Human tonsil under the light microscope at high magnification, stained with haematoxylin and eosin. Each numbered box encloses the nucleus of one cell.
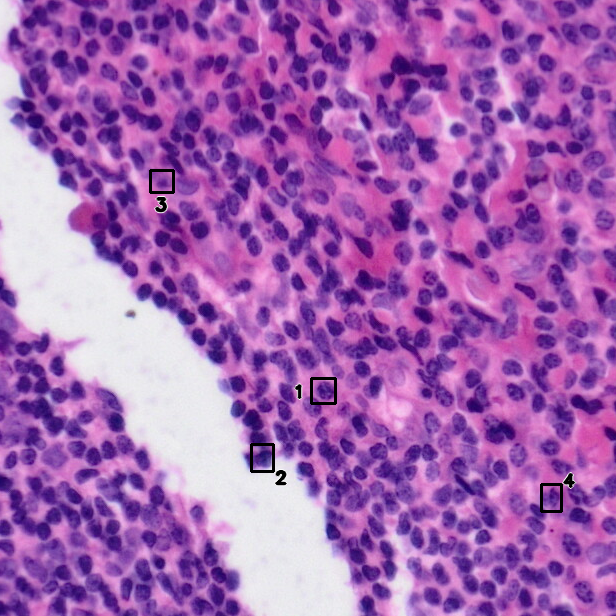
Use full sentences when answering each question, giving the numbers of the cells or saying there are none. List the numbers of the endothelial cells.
Only number 3 of the marked cells is an endothelial cell.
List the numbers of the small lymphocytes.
The cell labelled 2 is a small lymphocyte, while the remaining numbered cells are not.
